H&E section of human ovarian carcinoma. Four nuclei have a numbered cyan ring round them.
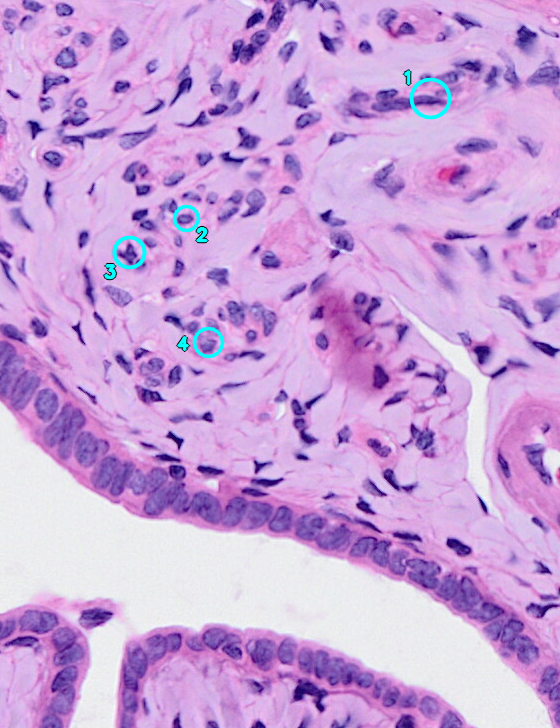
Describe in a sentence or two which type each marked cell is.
Cell 1 is an endothelial cell. Cells 2, 3 and 4 are smooth muscle cells.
